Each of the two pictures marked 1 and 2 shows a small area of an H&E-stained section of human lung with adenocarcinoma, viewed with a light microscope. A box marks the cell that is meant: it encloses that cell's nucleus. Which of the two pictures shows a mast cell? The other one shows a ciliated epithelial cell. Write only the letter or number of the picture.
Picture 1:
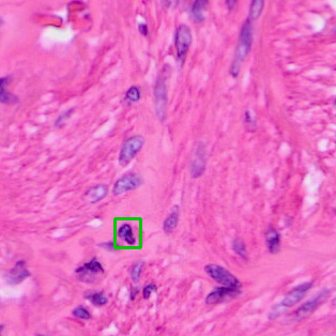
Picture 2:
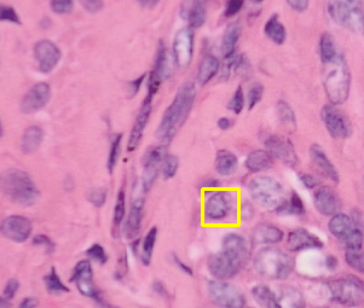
1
